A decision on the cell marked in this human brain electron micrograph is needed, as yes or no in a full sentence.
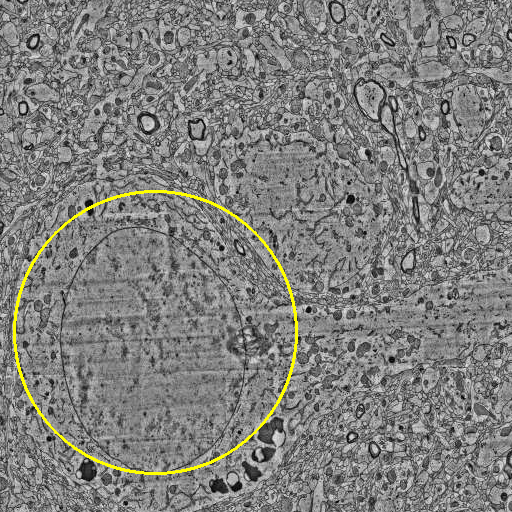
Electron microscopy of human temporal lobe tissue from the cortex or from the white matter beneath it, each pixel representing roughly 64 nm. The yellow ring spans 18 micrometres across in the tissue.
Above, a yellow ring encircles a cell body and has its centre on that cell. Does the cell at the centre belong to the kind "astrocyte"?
No, a different kind fits the cell at the centre of the ring in the picture.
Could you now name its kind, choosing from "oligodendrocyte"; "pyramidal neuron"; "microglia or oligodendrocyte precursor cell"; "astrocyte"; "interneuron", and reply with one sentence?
As it turns out, the cell at the ring centre is a pyramidal neuron.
